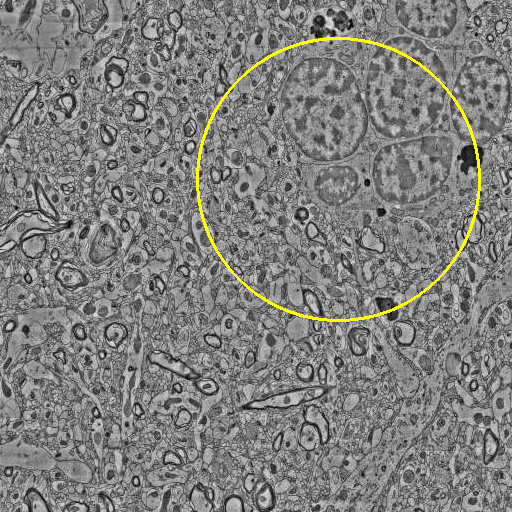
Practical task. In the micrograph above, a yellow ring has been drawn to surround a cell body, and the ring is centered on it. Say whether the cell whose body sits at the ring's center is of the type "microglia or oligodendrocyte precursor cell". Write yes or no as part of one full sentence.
No, the cell at the center of the ring above is of another type.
